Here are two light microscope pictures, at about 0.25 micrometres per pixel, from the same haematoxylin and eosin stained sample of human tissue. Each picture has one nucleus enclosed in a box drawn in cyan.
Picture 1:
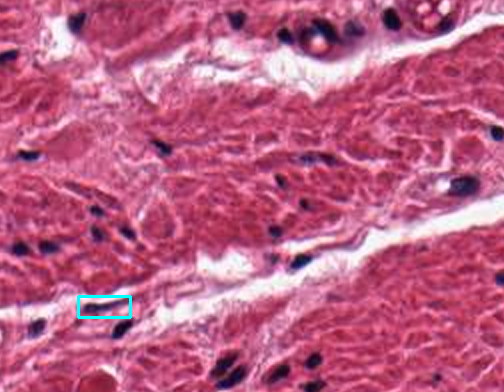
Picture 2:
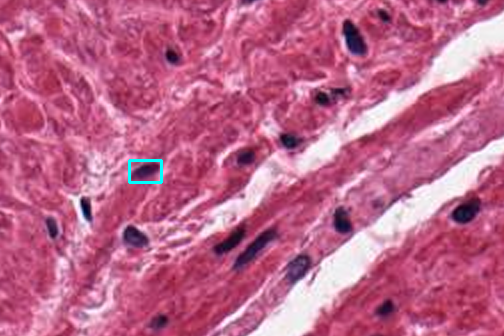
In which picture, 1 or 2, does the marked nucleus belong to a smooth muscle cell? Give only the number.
2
